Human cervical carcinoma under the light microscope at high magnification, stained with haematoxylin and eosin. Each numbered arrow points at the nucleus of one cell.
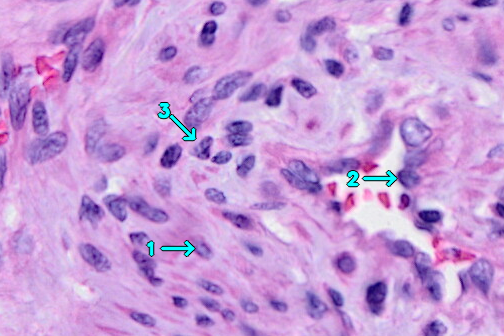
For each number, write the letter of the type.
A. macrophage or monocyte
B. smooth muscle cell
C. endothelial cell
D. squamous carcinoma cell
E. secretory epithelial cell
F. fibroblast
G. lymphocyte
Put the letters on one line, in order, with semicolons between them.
B; C; G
